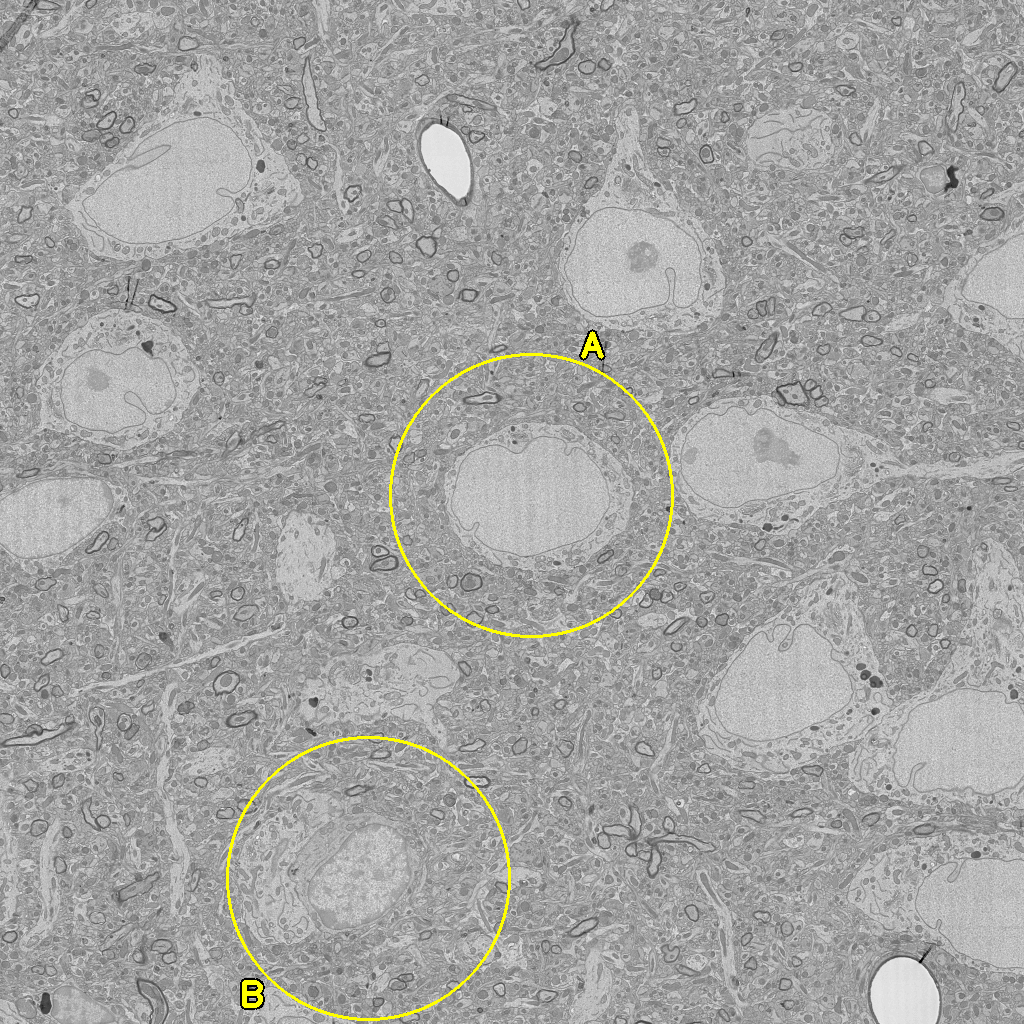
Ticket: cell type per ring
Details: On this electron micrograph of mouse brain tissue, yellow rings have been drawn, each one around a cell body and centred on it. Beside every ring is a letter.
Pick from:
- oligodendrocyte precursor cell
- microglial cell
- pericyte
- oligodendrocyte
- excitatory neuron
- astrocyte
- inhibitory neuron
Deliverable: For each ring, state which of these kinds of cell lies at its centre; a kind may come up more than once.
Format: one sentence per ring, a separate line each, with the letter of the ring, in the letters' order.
The cell body ringed as A belongs to an excitatory neuron.
The cell body ringed as B belongs to an oligodendrocyte.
